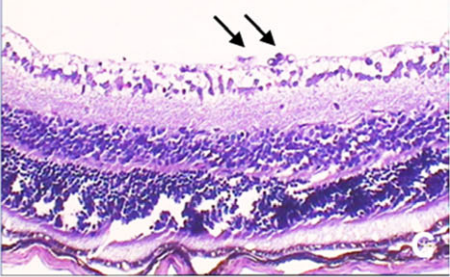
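This is a cross-section of retina stained with hematoxylin and eosin, with the inner surface at the top and the layers running horizontally. The upper part holds scattered purple nuclei in a loose pink layer, above a broad pale pink band with few nuclei. Below lie two bands of densely packed dark purple nuclei separated by a thin pink band, and wavy pink-red tissue lines the bottom of the section. A few small purple nuclei sit on the inner surface at the border with the clear space above. The surface is otherwise fairly smooth, with only a few nuclei standing above it.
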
